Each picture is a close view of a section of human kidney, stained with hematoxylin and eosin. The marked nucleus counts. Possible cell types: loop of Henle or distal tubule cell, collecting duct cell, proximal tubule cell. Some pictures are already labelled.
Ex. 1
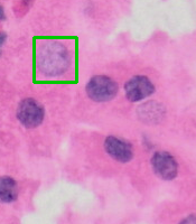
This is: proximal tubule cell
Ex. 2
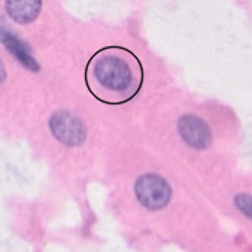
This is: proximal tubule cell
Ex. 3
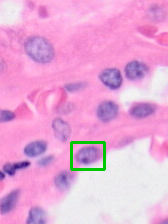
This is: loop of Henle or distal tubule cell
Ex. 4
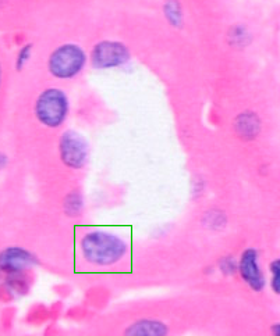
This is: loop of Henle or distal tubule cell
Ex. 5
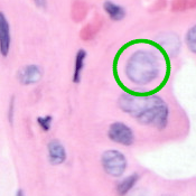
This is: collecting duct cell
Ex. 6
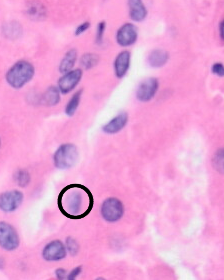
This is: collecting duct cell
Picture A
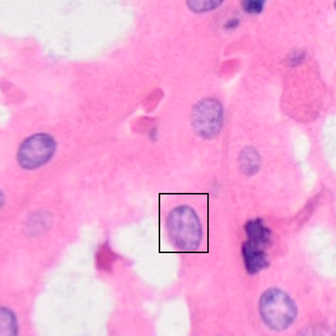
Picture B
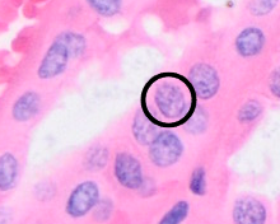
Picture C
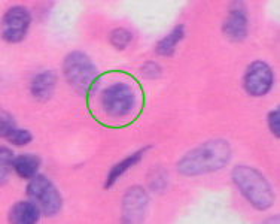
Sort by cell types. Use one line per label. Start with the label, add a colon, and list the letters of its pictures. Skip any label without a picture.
collecting duct cell: B, C
proximal tubule cell: A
